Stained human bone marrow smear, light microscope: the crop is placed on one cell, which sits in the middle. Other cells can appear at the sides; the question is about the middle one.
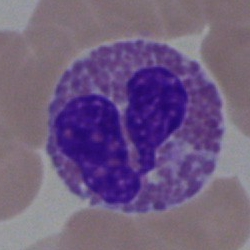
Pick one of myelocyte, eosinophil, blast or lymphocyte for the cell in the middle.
eosinophil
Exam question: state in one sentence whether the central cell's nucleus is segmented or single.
The nucleus has been partitioned into two or more lobes.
